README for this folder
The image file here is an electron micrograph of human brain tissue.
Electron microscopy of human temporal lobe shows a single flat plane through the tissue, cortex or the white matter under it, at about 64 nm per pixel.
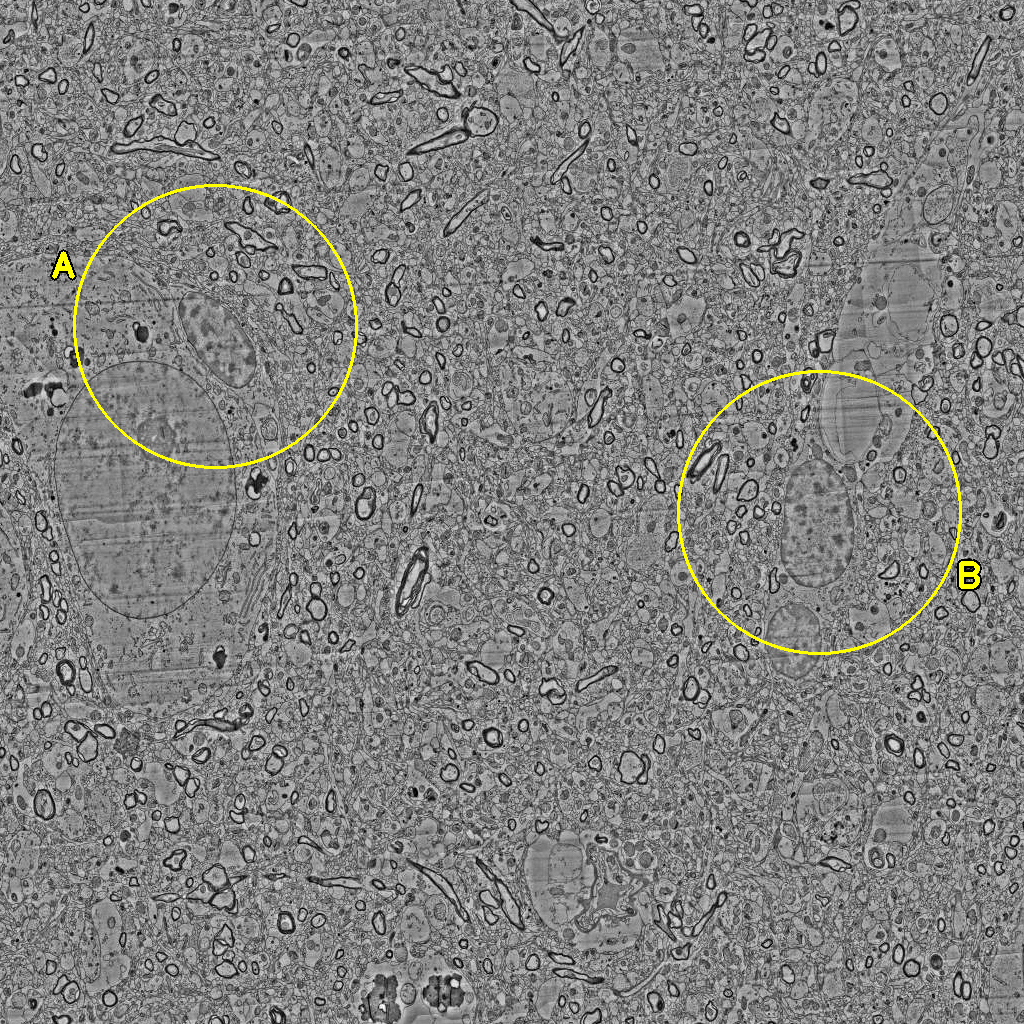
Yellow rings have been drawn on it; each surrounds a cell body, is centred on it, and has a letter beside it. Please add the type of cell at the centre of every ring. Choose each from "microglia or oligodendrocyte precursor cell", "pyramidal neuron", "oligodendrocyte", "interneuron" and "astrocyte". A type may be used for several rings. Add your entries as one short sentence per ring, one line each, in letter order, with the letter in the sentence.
Ring A marks the cell body of a microglial cell or oligodendrocyte precursor cell.
Ring B marks the cell body of an oligodendrocyte.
